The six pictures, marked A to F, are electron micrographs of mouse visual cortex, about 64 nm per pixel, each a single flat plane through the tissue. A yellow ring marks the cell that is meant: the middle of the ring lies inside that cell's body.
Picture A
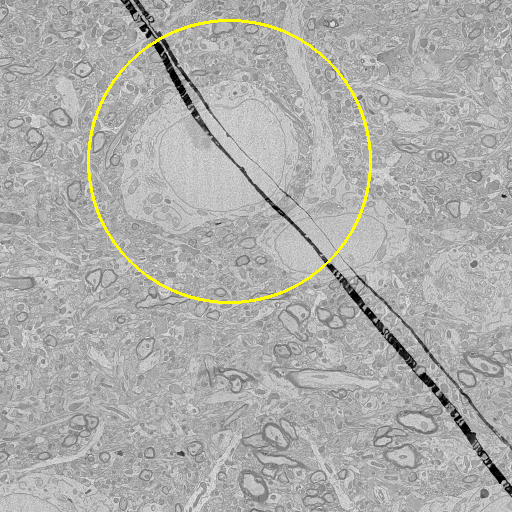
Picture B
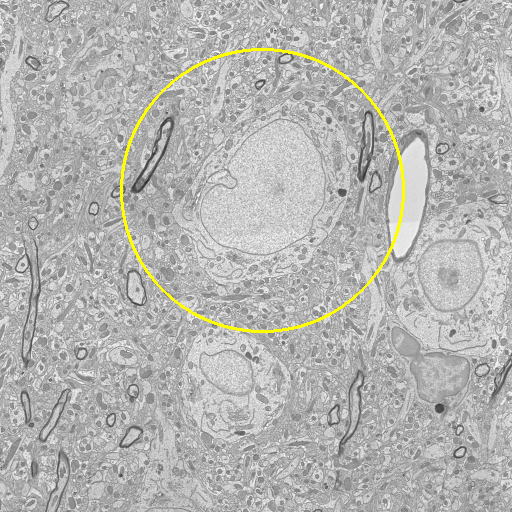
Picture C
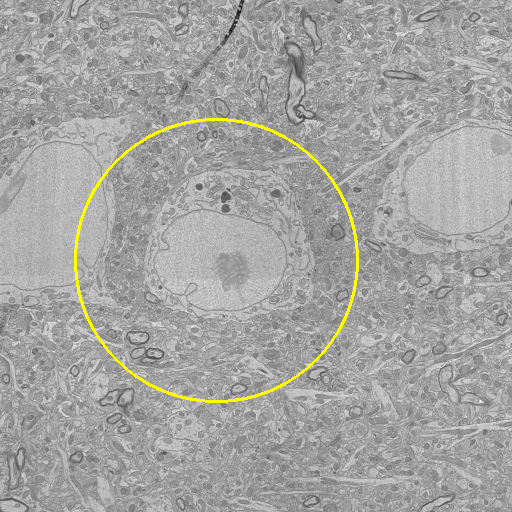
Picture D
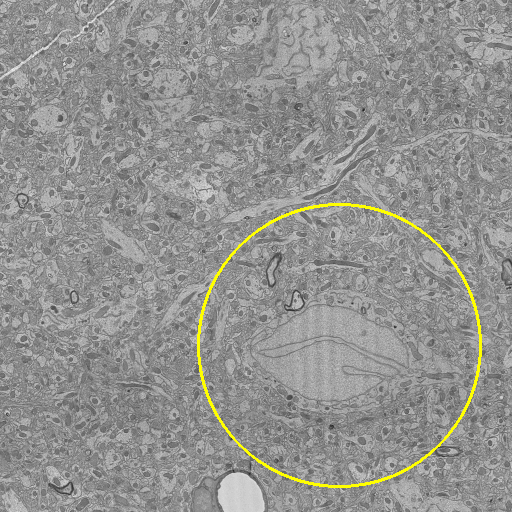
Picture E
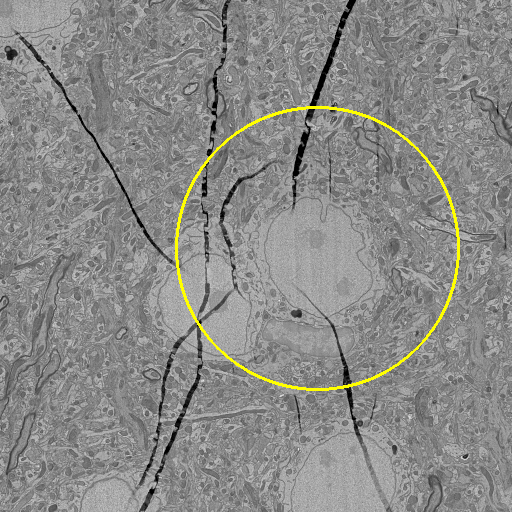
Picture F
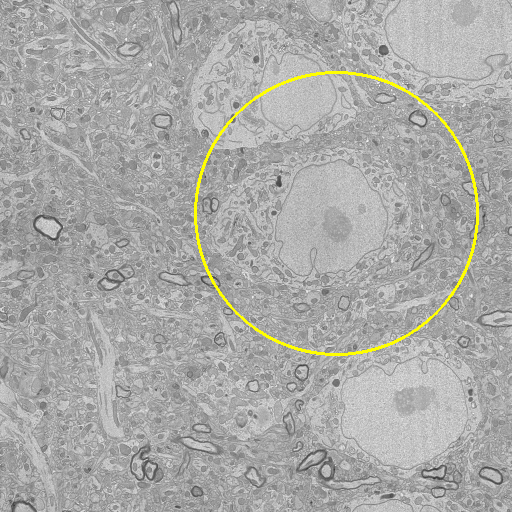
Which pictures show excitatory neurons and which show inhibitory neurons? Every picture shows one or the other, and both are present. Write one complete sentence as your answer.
Pictures A, B and E show excitatory neurons, and pictures C, D and F show inhibitory neurons.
